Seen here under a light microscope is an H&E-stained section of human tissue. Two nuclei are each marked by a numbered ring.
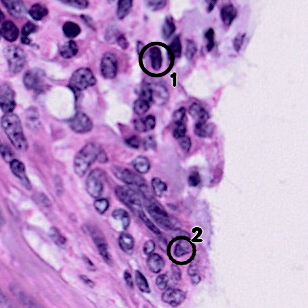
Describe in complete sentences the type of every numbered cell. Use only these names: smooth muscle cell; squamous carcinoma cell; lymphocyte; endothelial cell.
Cell 1 is a lymphocyte. Cell 2 is an endothelial cell.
